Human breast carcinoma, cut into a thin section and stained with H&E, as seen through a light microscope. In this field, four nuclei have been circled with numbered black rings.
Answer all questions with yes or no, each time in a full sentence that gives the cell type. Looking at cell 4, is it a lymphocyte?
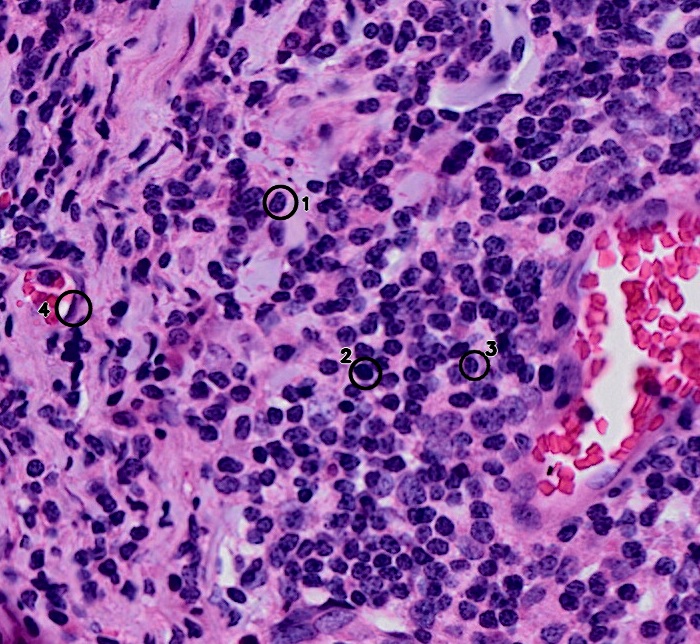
No, number 4 is not a lymphocyte but an endothelial cell.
